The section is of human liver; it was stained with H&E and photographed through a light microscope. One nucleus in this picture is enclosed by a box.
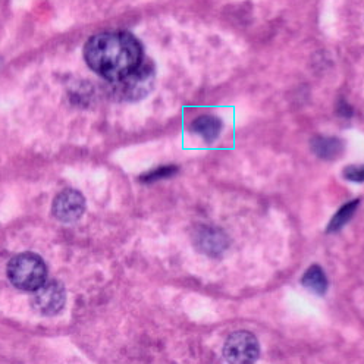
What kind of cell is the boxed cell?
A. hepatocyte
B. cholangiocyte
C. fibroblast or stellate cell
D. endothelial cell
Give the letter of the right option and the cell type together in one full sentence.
As the boxed cell is an endothelial cell, the correct choice is option D.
